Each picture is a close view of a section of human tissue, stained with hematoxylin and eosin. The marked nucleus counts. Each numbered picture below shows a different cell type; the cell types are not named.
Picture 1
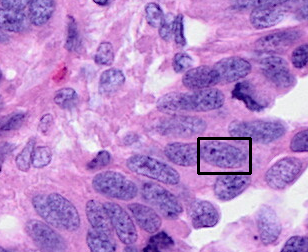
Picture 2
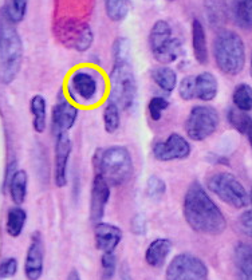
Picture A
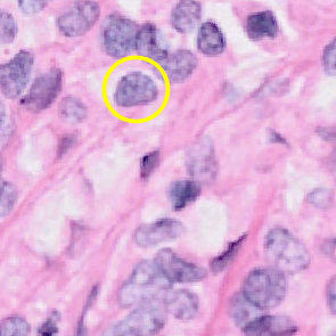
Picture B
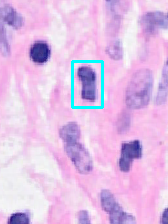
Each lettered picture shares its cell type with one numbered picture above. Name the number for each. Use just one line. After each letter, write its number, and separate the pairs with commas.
A 1, B 2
